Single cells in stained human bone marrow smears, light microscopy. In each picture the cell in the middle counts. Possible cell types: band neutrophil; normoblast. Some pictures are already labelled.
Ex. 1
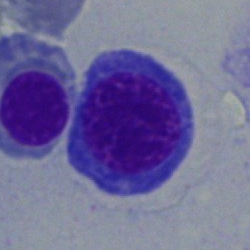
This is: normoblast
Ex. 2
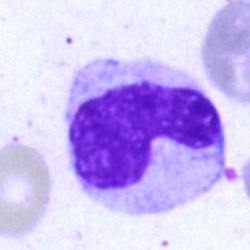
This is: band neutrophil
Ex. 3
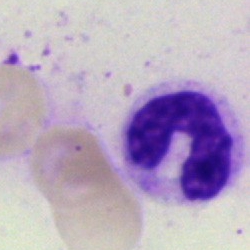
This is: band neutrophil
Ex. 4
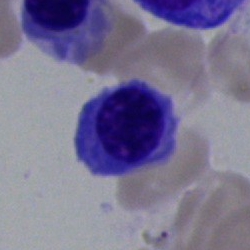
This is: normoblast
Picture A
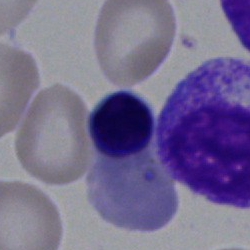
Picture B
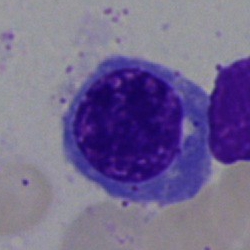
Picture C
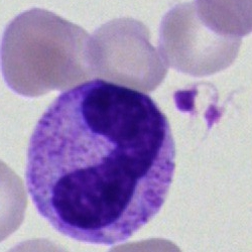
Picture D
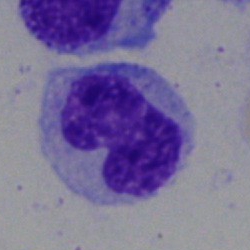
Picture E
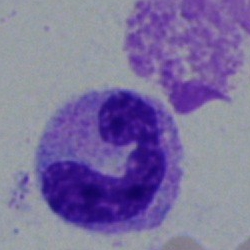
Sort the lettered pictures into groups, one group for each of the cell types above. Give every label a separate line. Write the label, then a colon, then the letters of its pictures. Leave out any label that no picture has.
band neutrophil: C, D, E
normoblast: A, B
